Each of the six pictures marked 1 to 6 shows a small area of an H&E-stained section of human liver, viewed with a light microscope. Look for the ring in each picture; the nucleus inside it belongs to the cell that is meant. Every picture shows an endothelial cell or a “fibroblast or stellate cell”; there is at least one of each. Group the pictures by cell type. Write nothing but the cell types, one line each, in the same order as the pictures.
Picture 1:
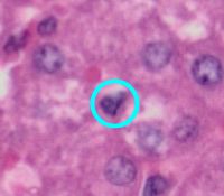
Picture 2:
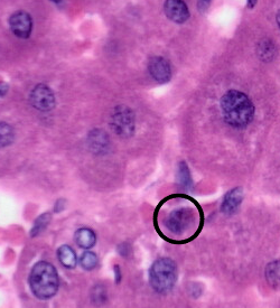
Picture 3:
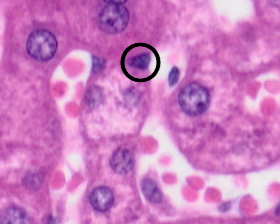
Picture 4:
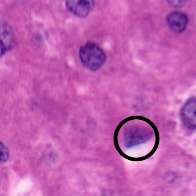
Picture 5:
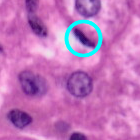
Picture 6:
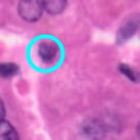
endothelial cell
fibroblast or stellate cell
fibroblast or stellate cell
endothelial cell
endothelial cell
fibroblast or stellate cell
